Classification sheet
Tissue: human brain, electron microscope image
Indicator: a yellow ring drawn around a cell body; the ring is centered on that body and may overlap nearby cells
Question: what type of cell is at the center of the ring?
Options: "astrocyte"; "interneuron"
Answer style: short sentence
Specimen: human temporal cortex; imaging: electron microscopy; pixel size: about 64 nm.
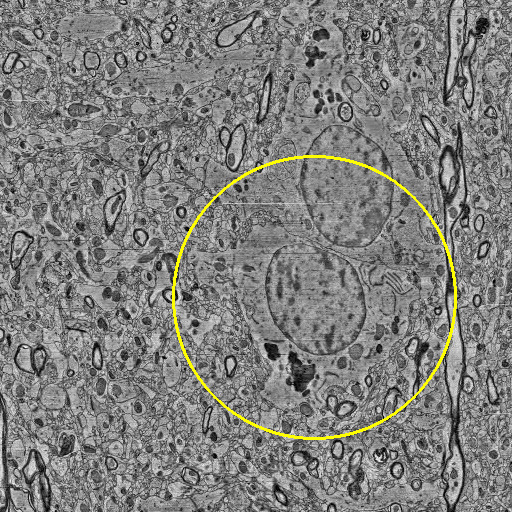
At the ring's center is an astrocyte.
